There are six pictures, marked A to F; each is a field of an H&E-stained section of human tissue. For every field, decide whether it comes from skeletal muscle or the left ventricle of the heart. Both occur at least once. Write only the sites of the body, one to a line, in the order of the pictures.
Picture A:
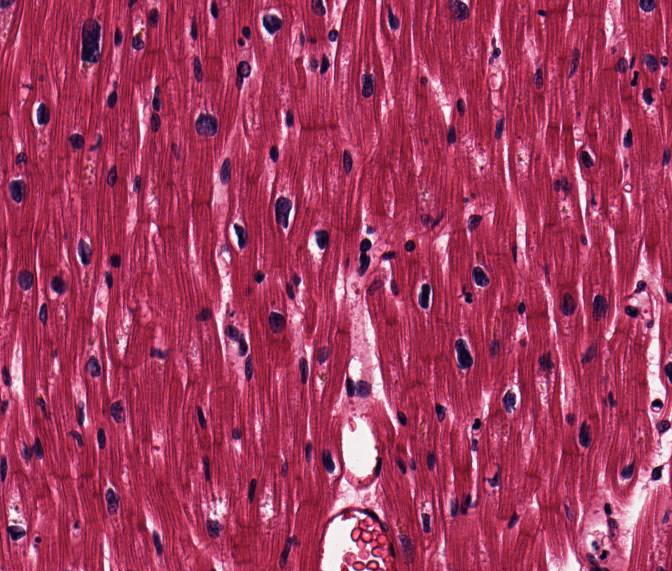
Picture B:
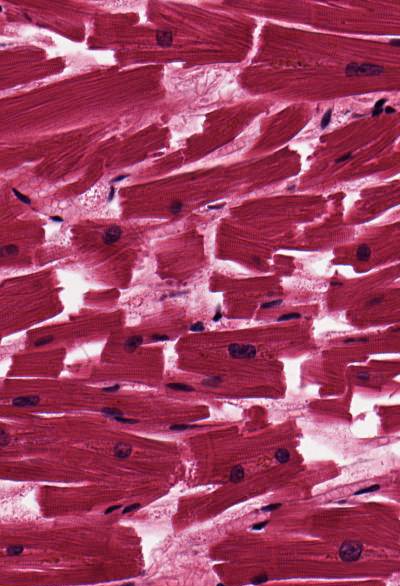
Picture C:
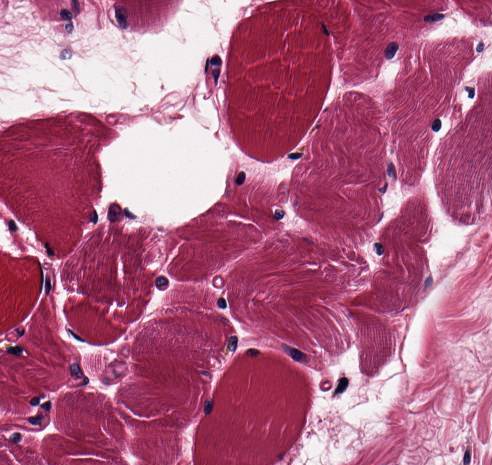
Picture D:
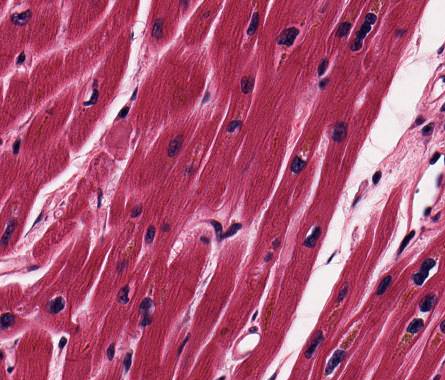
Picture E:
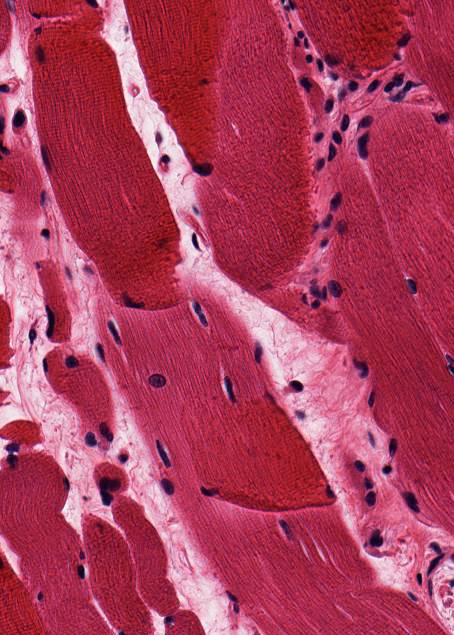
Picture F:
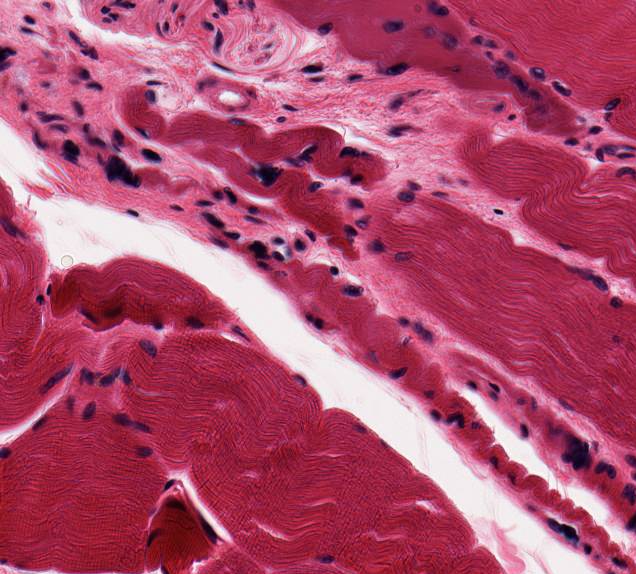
left ventricle of the heart
left ventricle of the heart
skeletal muscle
left ventricle of the heart
skeletal muscle
skeletal muscle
